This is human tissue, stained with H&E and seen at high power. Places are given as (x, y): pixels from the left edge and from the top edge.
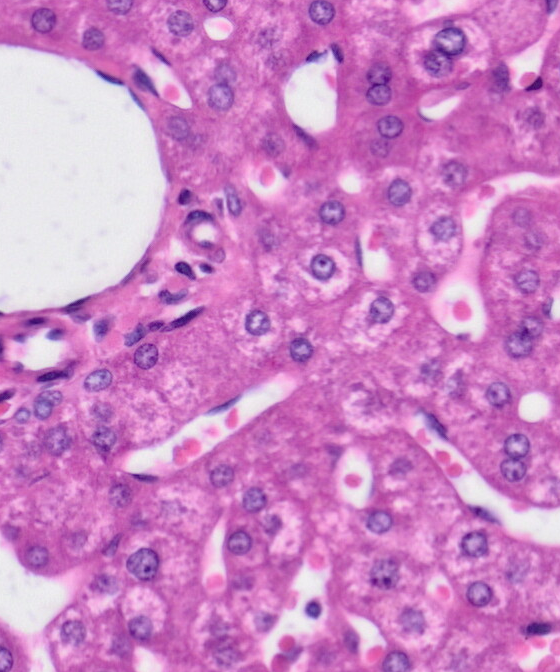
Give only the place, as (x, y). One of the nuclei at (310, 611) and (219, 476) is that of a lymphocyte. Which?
(310, 611)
